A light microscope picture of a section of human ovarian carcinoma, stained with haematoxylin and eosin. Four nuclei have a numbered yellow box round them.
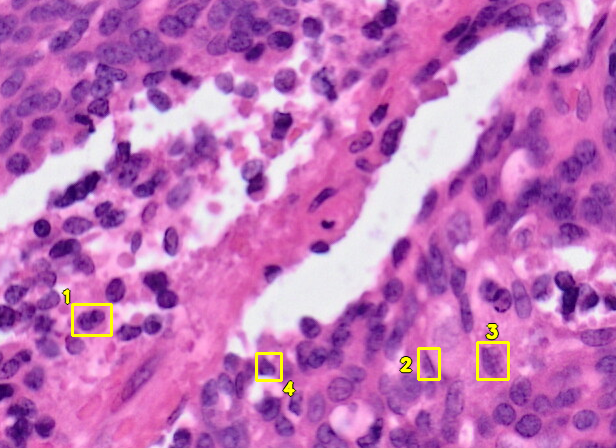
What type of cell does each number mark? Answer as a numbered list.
1. macrophage or monocyte
2. carcinoma cell
3. carcinoma cell
4. carcinoma cell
